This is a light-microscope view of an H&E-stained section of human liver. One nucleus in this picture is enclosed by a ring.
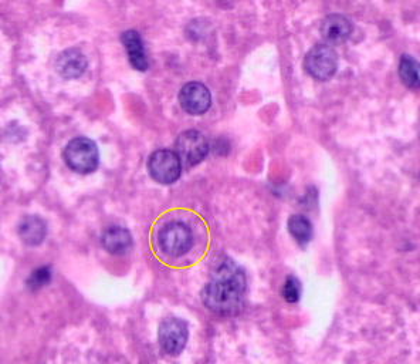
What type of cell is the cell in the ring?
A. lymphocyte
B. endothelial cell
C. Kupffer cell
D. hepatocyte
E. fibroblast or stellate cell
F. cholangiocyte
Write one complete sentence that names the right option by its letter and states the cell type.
Option D is correct in stating that the cell in the ring is a hepatocyte.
